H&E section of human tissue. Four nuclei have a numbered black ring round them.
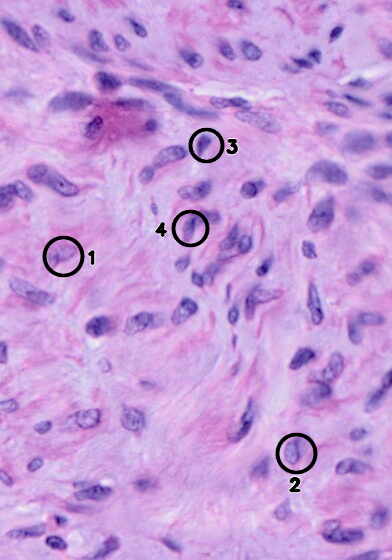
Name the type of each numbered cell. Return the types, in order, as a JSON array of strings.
["smooth muscle cell", "smooth muscle cell", "fibroblast", "smooth muscle cell"]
